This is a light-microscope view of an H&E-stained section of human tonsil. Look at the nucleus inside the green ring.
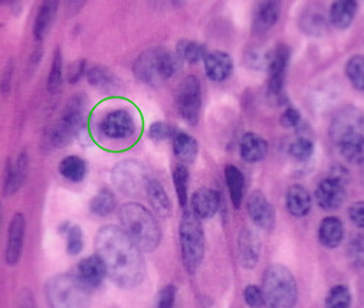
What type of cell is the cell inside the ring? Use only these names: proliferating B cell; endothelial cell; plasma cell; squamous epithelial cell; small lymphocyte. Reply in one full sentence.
Labelled by cell type, the cell inside the ring is a plasma cell.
